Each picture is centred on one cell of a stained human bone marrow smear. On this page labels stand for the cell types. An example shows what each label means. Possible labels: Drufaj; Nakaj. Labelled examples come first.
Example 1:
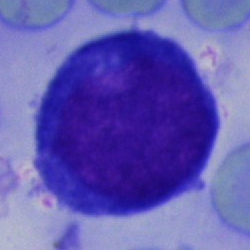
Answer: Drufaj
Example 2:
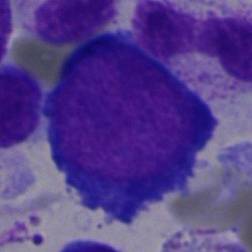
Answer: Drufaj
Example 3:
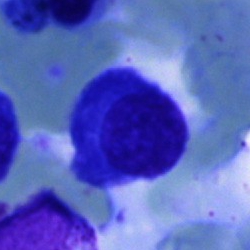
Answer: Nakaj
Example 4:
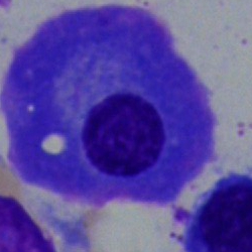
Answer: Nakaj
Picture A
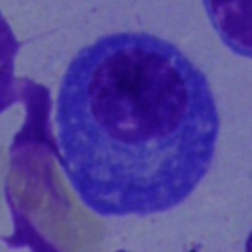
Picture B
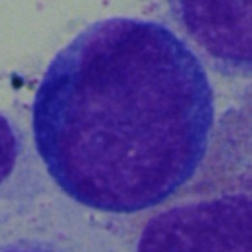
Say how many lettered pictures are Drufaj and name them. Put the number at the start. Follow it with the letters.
1: B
